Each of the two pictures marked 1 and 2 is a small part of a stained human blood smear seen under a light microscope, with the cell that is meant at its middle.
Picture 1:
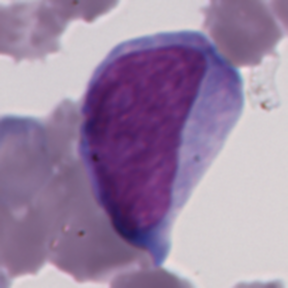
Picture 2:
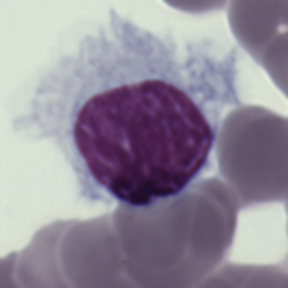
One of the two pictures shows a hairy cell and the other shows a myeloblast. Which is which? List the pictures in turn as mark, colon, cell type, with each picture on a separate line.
1: myeloblast
2: hairy cell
